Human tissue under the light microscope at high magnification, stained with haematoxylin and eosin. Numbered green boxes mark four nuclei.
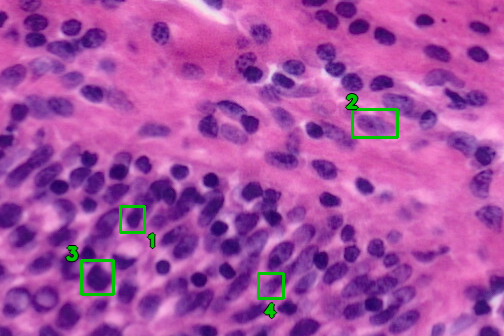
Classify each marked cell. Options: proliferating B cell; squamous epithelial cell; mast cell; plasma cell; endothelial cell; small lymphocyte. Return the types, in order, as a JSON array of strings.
["squamous epithelial cell", "endothelial cell", "squamous epithelial cell", "squamous epithelial cell"]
